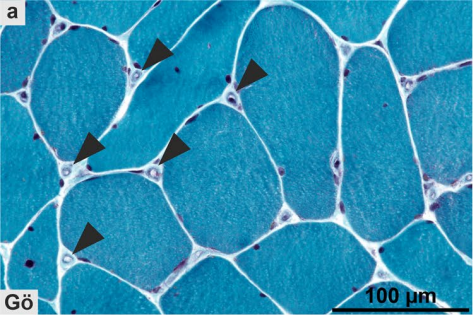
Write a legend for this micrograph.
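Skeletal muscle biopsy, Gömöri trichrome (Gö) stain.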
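At the corners between fibres lie small capillaries whose walls look thickened, each a small ring around a narrow lumen with a few dark nuclei. The fibres themselves show only scattered dark nuclei at their edges.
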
